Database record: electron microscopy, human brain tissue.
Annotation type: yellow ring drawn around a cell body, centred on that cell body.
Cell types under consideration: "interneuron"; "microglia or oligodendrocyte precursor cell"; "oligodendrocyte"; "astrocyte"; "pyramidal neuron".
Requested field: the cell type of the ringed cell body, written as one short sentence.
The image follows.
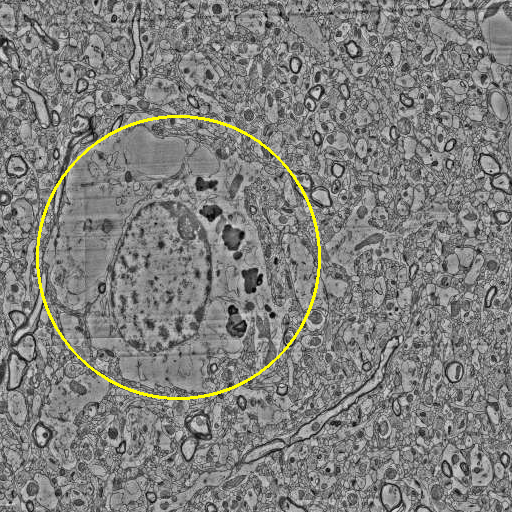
The ringed cell body represents an astrocyte.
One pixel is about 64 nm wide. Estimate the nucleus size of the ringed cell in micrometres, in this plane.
The nucleus has a long axis of about 10 micrometres and a short axis of about 7 micrometres in this plane.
